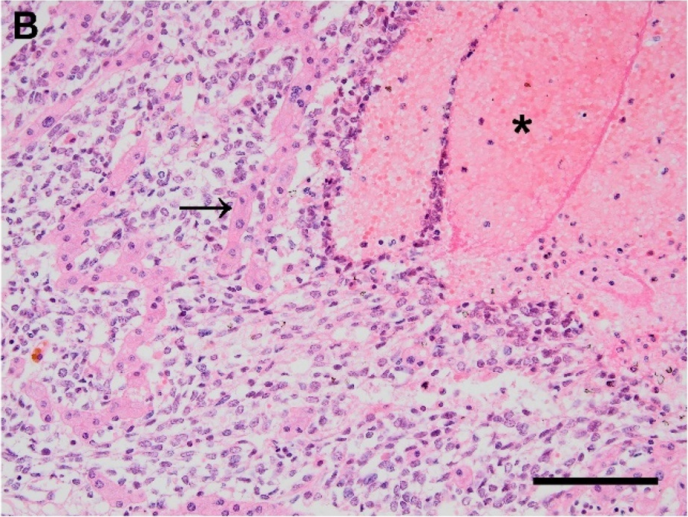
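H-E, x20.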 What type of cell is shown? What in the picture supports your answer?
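Most of the field is filled with densely packed cells with elongated to oval nuclei. The nuclei vary in size and shape. The answer: spindle to oval-shaped, pleomorphic neoplastic cells.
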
